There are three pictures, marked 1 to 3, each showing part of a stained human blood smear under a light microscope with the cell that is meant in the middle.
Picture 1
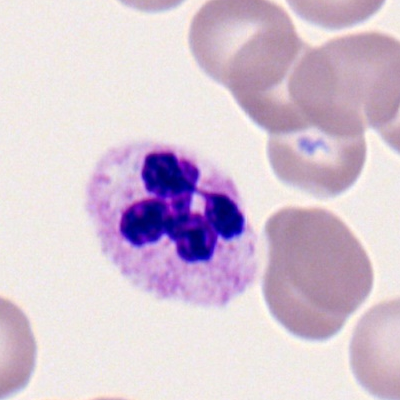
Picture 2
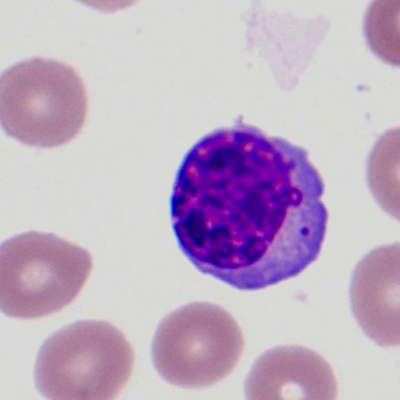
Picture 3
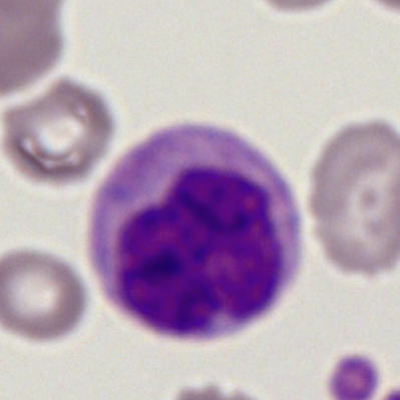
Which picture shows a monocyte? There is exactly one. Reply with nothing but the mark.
3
